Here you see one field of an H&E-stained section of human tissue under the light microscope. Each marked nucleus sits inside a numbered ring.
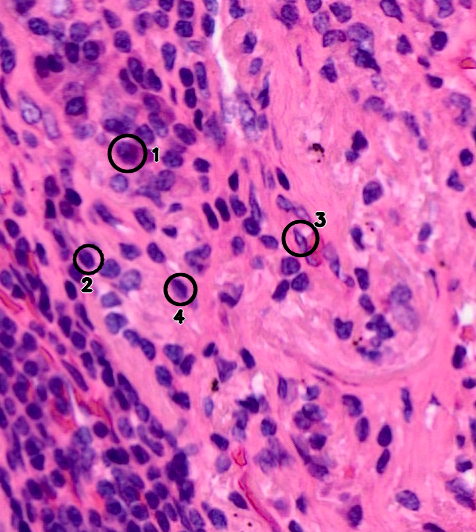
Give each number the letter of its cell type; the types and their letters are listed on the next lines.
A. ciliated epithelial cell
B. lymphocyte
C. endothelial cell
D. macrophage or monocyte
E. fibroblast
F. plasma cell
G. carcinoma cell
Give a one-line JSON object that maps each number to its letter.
{"1": "F", "2": "B", "3": "C", "4": "B"}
